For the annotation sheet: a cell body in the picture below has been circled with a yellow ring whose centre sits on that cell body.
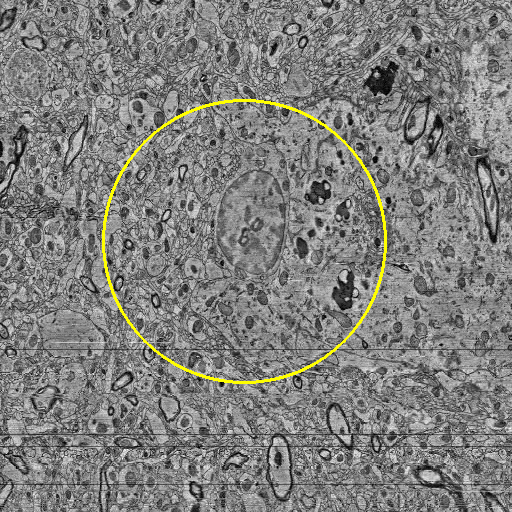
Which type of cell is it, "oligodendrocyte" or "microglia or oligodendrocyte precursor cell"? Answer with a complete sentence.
The circled cell is an oligodendrocyte.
